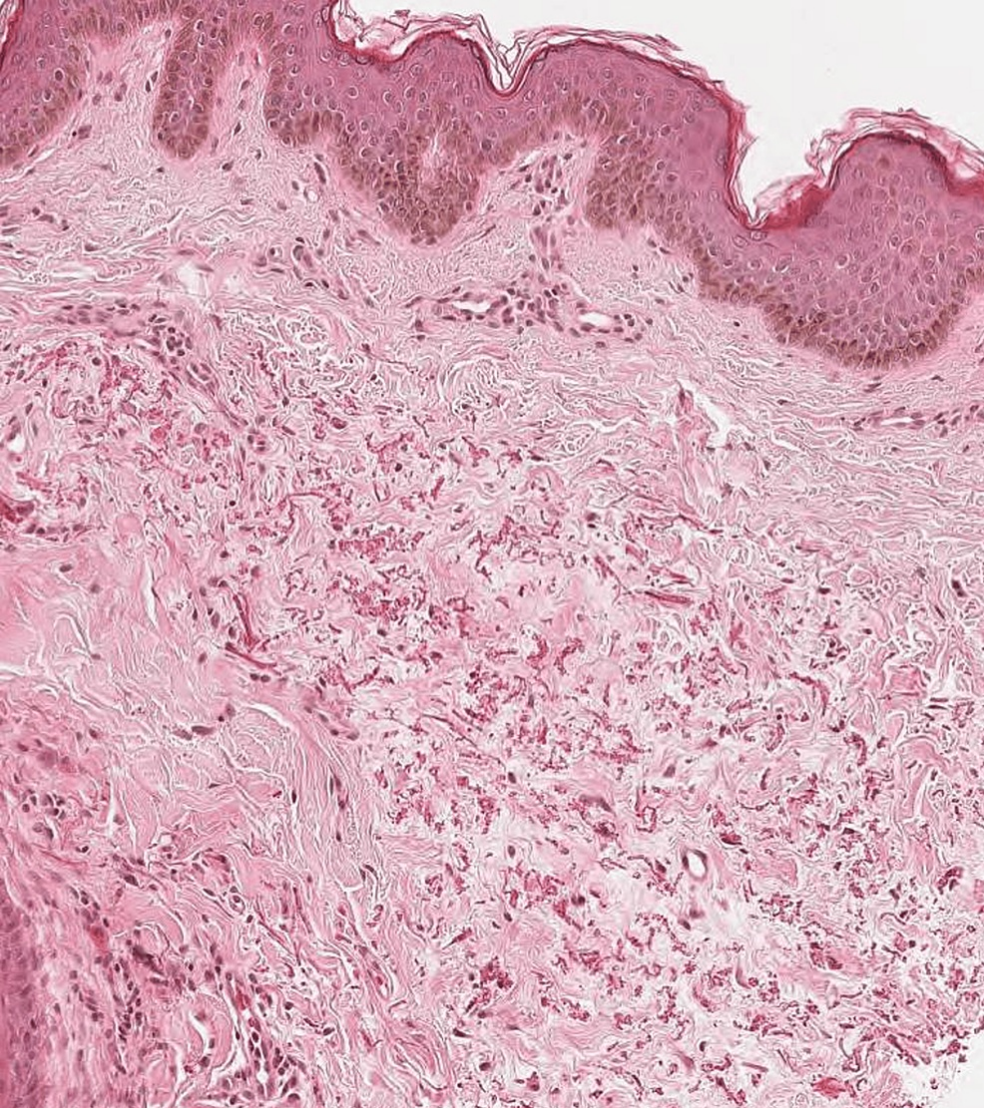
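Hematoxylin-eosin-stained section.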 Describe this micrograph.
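This is a section of skin, with an epidermis at the top and the dermis below it. The epidermis is a keratinized stratified squamous epithelium with rete ridges. Its basal layer is slightly brownish. In the papillary dermis, a few small vessels are surrounded by scattered spindle-shaped and round nuclei. The mid dermis is filled with numerous short, thick, curled, fragmented fibers lying among the pale pink collagen. These fibers stain darker and more purplish than the collagen and are gathered in irregular clumps. The clumps stand in contrast to the long, fine strands of normal dermis.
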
